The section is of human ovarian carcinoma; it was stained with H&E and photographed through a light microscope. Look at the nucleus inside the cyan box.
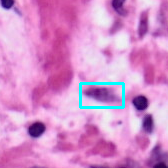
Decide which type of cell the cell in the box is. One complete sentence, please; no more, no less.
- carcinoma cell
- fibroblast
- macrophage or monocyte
In the context of this tissue, the cell in the box is a fibroblast.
